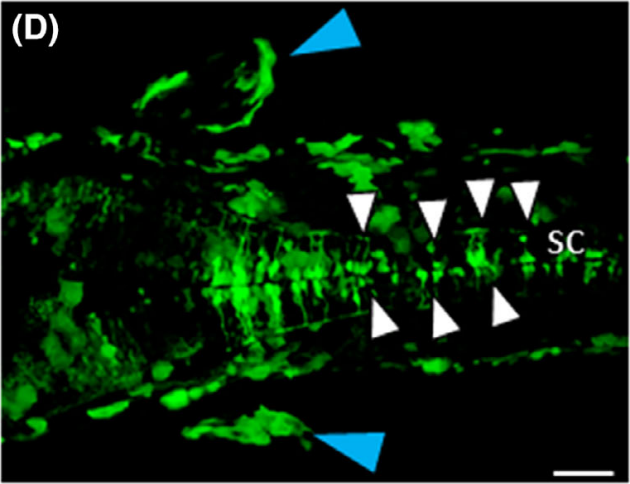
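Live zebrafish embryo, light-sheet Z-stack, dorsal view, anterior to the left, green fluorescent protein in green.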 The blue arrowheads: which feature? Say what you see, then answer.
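Pectoral fin. Two paired structures lie on either side, outside the trunk.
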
